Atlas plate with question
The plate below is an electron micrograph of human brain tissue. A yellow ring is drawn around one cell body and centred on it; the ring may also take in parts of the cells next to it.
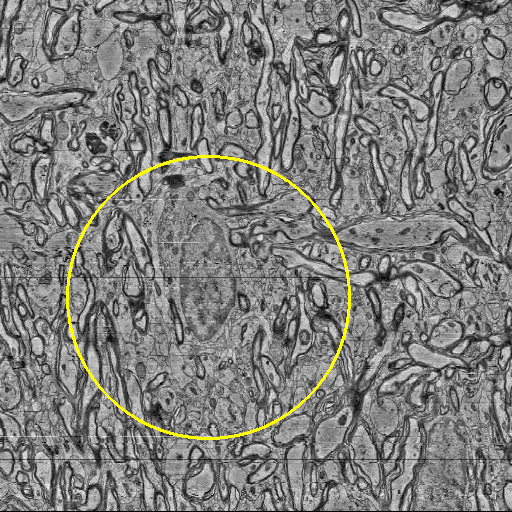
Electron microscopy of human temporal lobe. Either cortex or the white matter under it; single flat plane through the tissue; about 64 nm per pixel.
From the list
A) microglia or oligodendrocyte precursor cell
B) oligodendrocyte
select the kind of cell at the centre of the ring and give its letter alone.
B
